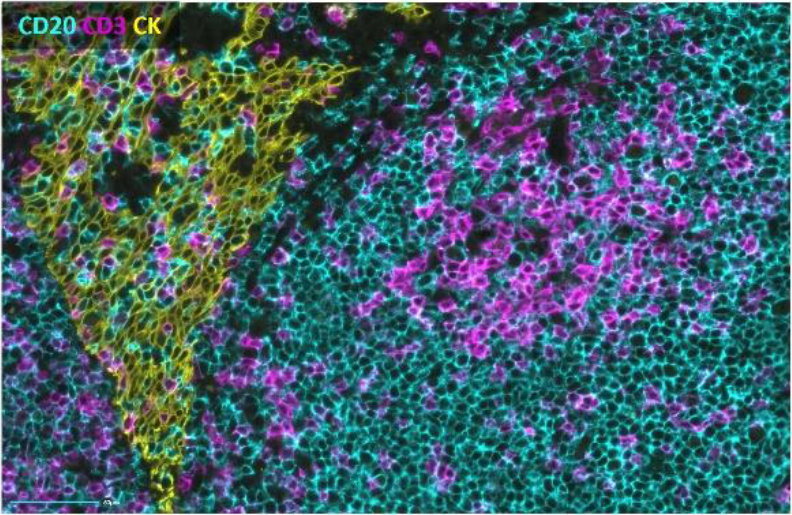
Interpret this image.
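Edge of tonsil tissue where a wedge of epithelium, its cells outlined in yellow, borders a dense field of small lymphocytes. The lymphoid area is a tight mosaic of cyan-ringed round cells with a cluster of magenta-ringed cells, and scattered magenta-ringed cells also lie within the epithelium.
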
